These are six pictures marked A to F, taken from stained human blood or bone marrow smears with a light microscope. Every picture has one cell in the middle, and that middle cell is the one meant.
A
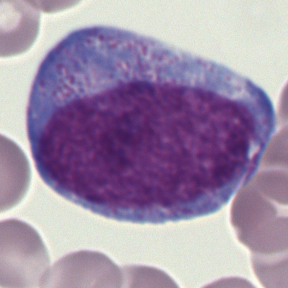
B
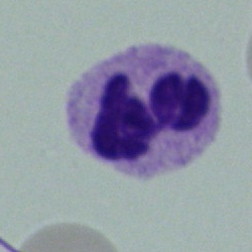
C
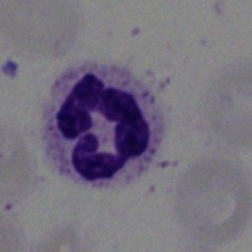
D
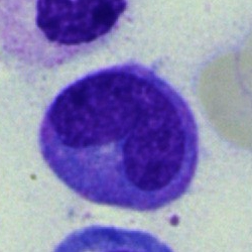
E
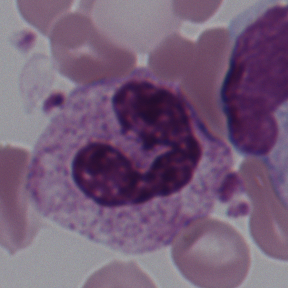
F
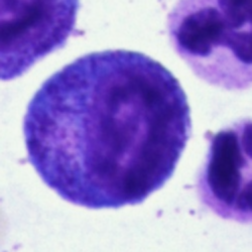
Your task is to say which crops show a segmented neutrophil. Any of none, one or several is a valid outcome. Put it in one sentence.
In crops B, C and E, the centrally located cells represent segmented neutrophils.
